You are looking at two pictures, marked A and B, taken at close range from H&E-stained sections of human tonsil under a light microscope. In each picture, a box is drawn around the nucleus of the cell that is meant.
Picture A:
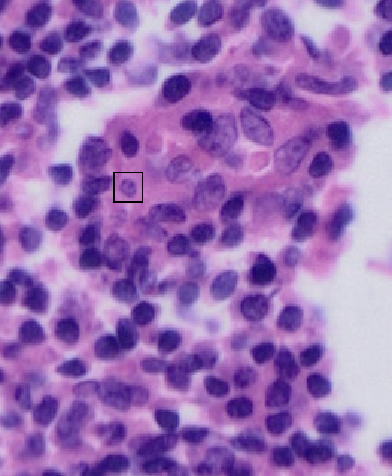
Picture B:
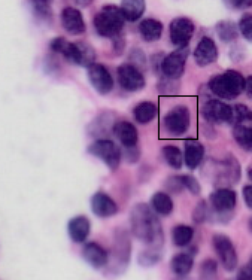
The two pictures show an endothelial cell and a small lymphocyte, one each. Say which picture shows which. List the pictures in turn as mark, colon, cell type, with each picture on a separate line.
A: endothelial cell
B: small lymphocyte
